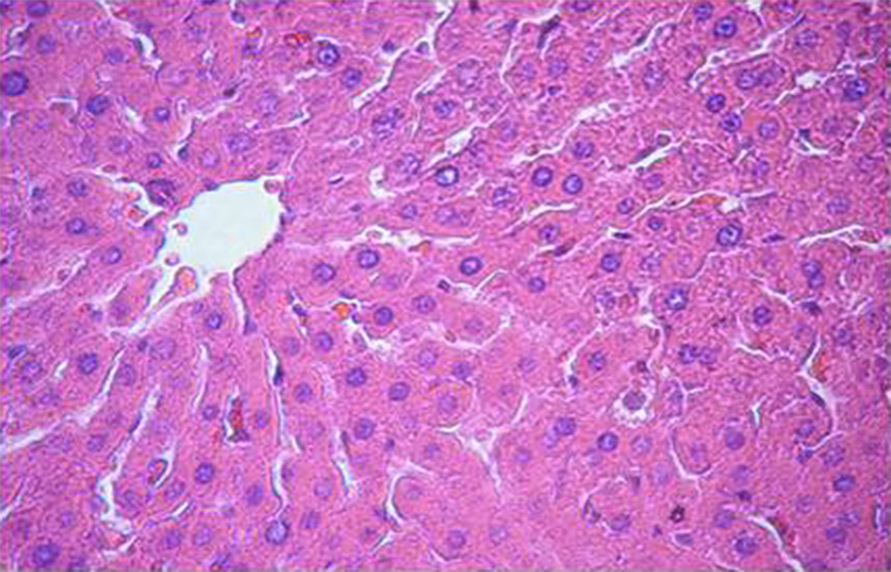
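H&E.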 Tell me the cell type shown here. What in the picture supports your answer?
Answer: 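Large polygonal cells with abundant pink cytoplasm. Round central nuclei with visible nucleoli, some cells binucleate. Cells arranged in cords or plates. So: hepatocytes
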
